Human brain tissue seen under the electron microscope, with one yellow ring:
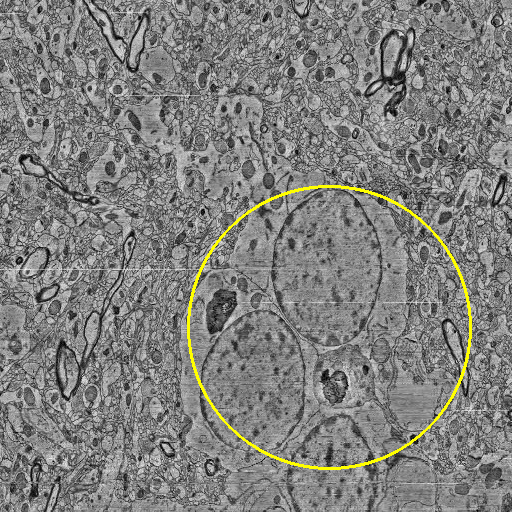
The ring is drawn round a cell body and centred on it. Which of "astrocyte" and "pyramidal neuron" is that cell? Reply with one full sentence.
The picture shows an astrocyte at the very centre of the yellow ring.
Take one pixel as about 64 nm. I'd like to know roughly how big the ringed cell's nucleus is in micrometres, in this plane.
In this plane the nucleus is about 10 micrometres by 7.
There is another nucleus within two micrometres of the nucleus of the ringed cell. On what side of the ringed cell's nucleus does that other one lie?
That other nucleus is to the lower left of it.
